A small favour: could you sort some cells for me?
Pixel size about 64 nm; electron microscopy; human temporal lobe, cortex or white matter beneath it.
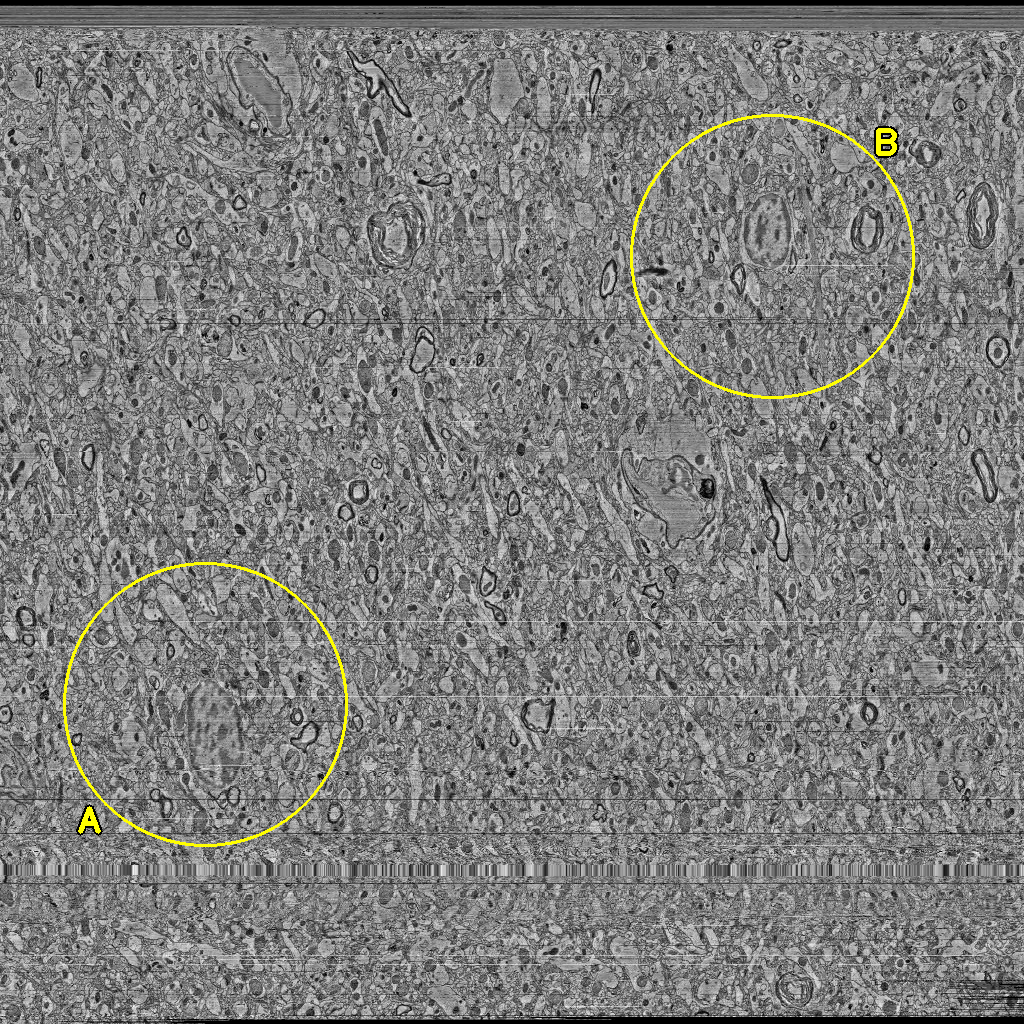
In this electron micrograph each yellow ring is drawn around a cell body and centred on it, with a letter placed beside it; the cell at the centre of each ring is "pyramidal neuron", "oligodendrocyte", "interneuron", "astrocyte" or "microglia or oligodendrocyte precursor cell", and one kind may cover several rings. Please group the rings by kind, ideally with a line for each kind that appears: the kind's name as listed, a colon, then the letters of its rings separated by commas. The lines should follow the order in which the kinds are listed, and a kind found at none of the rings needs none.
oligodendrocyte: A
microglia or oligodendrocyte precursor cell: B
